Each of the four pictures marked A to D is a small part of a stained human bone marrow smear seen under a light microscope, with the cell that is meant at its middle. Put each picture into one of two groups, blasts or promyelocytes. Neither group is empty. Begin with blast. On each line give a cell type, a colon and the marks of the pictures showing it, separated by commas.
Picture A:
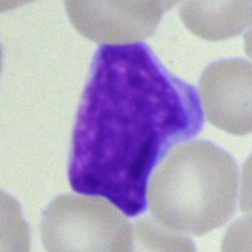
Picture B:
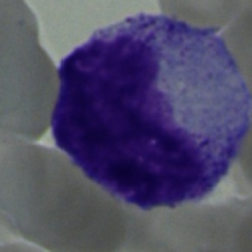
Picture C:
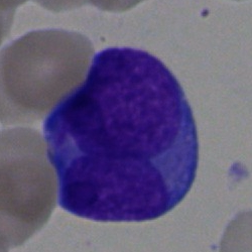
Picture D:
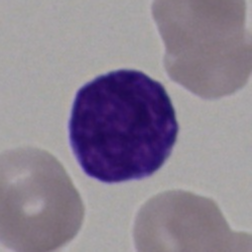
blast: A, C, D
promyelocyte: B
